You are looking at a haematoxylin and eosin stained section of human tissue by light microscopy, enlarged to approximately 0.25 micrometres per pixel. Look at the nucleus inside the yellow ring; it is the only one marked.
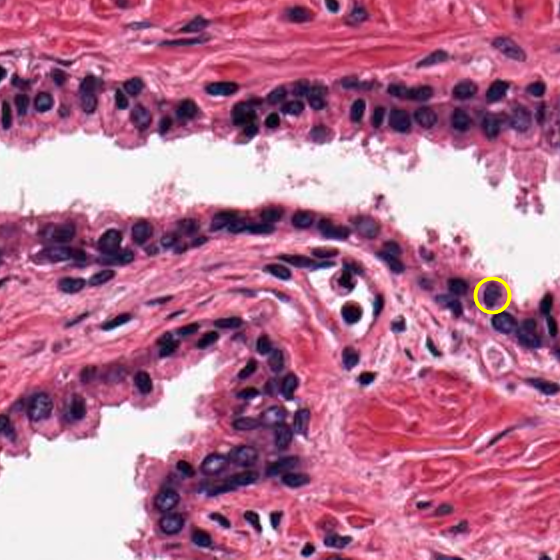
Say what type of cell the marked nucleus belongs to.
prostate gland luminal cell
